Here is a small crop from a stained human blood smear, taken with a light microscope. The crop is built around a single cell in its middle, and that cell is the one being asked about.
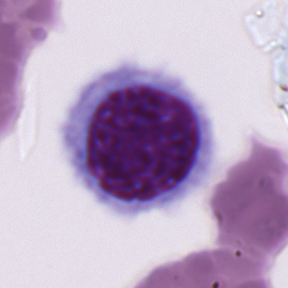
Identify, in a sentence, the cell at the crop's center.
In the middle of this smear crop is a hairy cell.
